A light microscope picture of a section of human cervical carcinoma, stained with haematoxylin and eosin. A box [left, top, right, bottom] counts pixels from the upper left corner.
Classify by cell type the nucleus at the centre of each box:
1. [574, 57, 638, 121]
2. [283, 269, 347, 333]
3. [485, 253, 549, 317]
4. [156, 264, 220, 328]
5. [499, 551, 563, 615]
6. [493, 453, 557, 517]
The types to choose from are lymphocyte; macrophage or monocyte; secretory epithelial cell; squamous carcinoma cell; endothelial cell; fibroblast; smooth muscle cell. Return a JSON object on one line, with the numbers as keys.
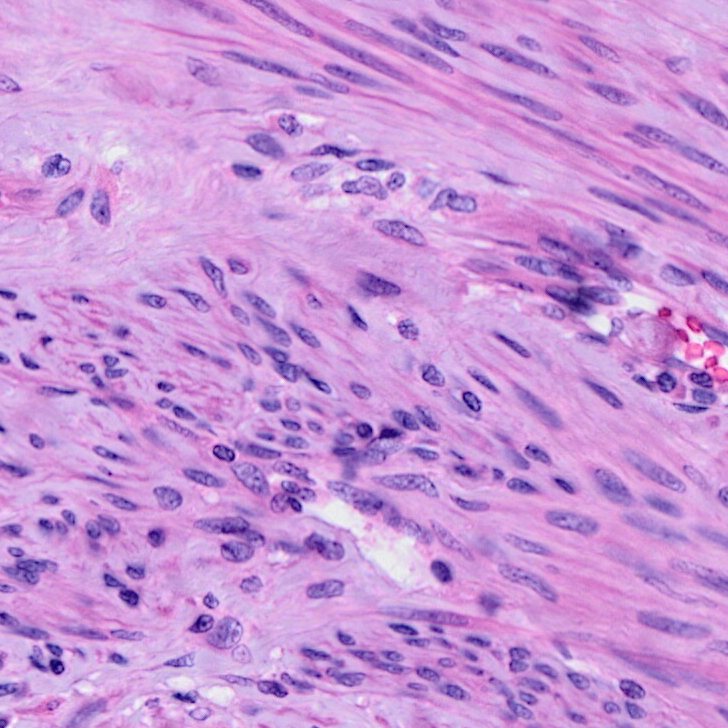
{"1": "smooth muscle cell", "2": "smooth muscle cell", "3": "endothelial cell", "4": "smooth muscle cell", "5": "smooth muscle cell", "6": "fibroblast"}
